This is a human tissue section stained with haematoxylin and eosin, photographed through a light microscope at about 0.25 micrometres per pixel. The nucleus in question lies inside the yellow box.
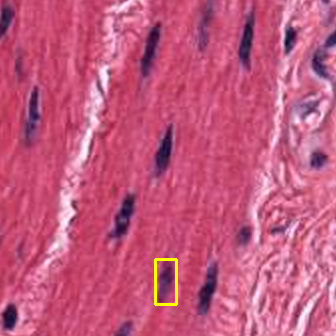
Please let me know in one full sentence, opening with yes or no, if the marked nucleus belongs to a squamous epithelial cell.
No, the marked nucleus is not contained in a squamous epithelial cell.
